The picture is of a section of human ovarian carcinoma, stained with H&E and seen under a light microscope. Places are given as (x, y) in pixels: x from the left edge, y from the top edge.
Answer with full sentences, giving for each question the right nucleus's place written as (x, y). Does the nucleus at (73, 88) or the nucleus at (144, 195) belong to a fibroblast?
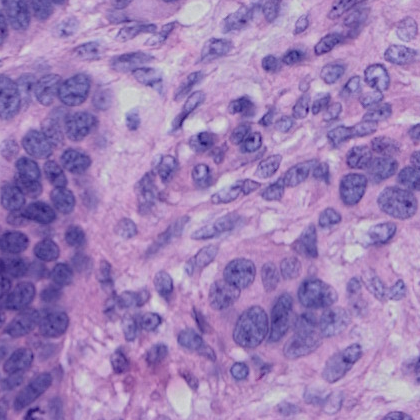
The one nucleus of the two that belongs to a fibroblast is at (144, 195).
